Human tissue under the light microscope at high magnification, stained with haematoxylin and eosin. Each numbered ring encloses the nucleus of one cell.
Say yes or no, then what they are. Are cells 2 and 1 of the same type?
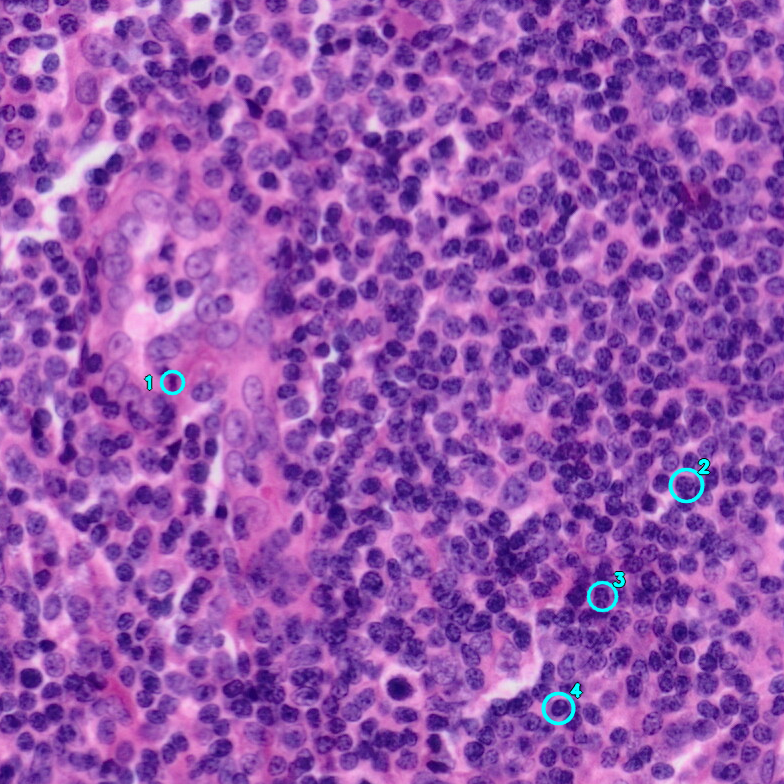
No, the cell marked 2 is a small lymphocyte, and the cell marked 1 is an endothelial cell.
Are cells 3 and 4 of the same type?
Yes, sure, cells 3 and 4 are both small lymphocytes.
